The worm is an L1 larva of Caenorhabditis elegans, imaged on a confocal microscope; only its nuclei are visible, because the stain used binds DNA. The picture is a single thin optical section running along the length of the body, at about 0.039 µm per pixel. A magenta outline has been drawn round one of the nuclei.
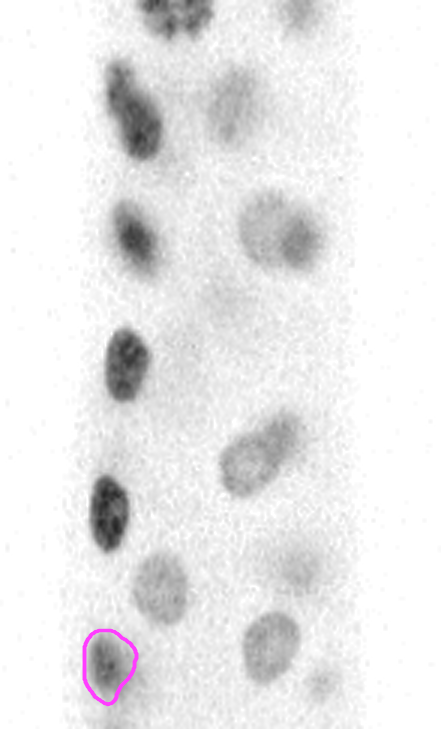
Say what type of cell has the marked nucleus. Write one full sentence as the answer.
The marked nucleus belongs to a neuron.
